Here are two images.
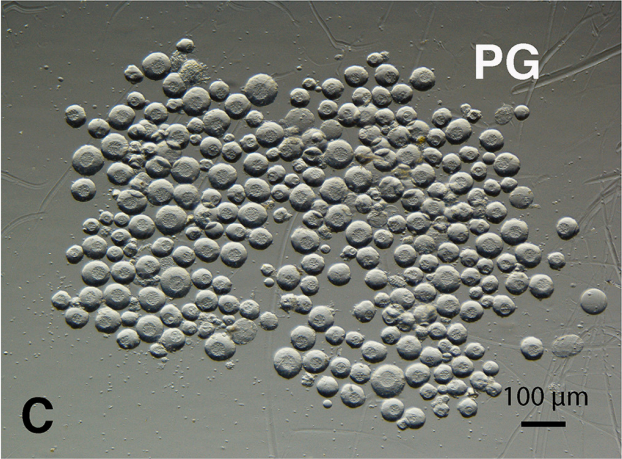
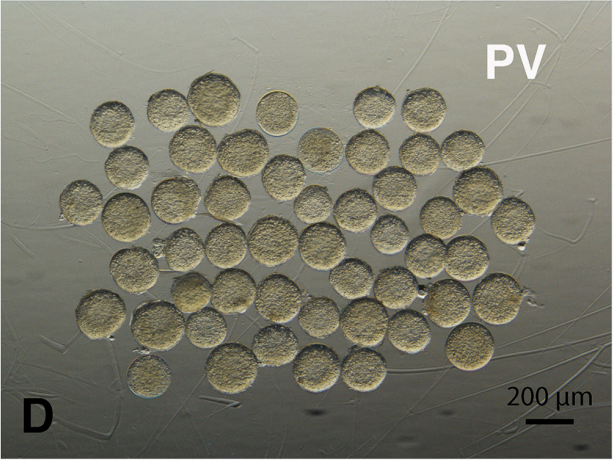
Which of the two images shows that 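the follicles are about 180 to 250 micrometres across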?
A: The second image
